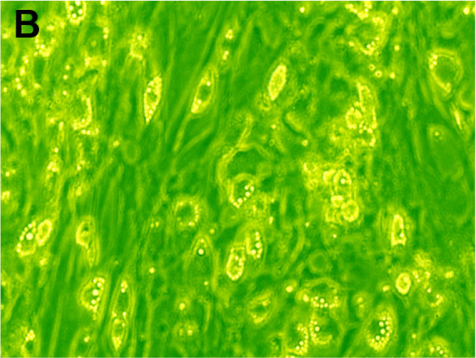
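This is a dense culture of adipocytes among elongated spindle-shaped cells, seen without stain under contrast optics. The spindle-shaped cells lie packed side by side in streams that run across the field. Scattered among them are rounder cells whose cytoplasm holds clusters of small, bright, round lipid droplets. The droplets vary somewhat in size and often ring the edge of the rounded cell. Groups of these droplet-laden cells lie close together in places across the field.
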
